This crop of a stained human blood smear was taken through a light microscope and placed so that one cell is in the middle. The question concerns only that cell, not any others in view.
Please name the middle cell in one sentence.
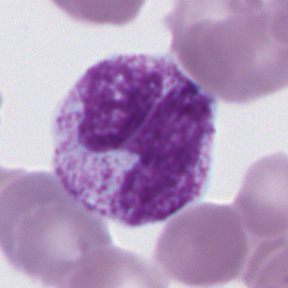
Where the crop is centred, there is a band neutrophil.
